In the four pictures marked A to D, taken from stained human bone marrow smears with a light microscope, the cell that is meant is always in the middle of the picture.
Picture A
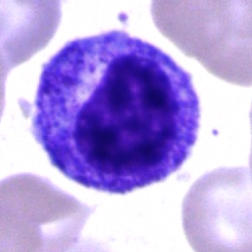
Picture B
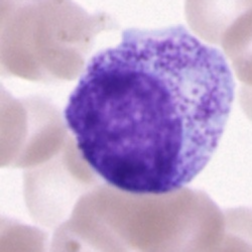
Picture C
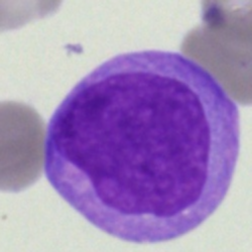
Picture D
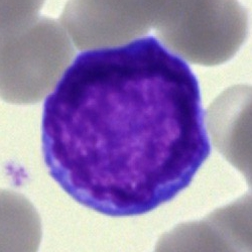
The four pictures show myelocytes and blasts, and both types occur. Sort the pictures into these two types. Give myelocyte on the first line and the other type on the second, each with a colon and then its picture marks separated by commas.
myelocyte: A, B
blast: C, D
